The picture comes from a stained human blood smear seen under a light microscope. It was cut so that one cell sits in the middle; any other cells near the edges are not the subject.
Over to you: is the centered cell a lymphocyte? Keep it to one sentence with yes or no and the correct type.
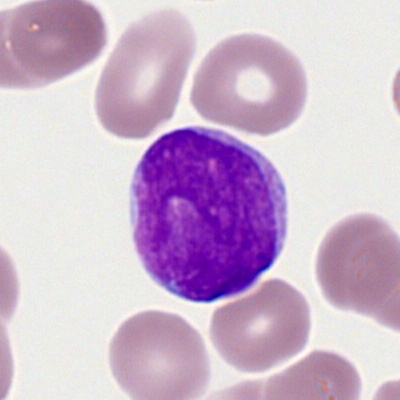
No, it is a myeloblast that sits in the middle, not a lymphocyte.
